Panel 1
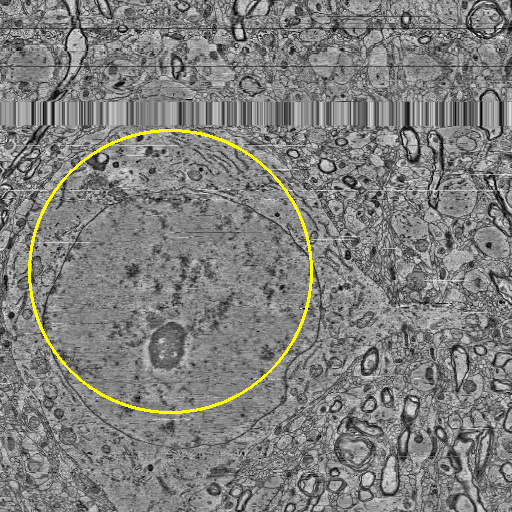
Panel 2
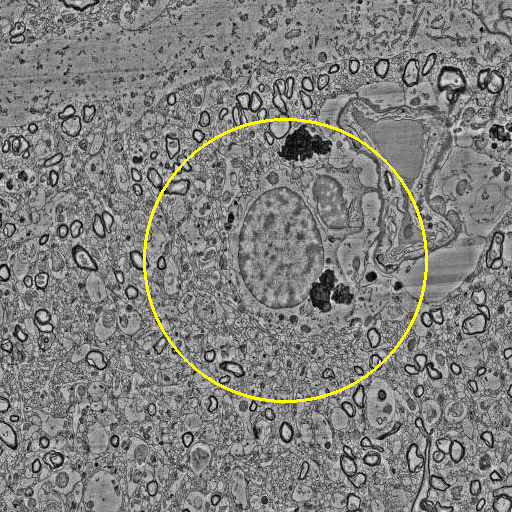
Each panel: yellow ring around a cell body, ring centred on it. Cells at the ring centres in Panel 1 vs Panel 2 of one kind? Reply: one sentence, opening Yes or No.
No, Panel 1 and Panel 2 have cells of two kinds at the ring centres.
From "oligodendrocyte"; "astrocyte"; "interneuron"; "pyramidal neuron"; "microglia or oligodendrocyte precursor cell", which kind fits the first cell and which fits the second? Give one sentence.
The cell marked in the first picture is a pyramidal neuron, and the one marked in the second is an oligodendrocyte.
